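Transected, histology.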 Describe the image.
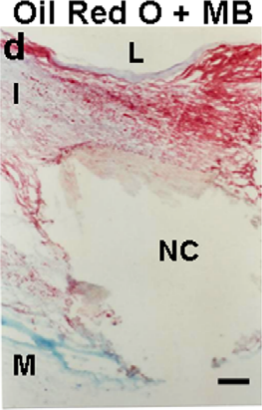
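Along the lumen at the top, a band of densely packed, wavy tissue stains intensely red. Beneath this band lies a large pale area that is almost empty of stained structures and cells, with ragged edges. Thin red-stained strands and scattered red fragments frame this pale region at its sides and lower edge. At the bottom, the deepest layer of the wall stains pale blue.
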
